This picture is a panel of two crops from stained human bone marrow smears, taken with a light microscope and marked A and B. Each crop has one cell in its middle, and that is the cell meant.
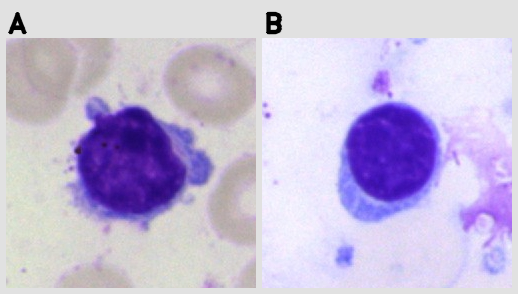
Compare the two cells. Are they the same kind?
yes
